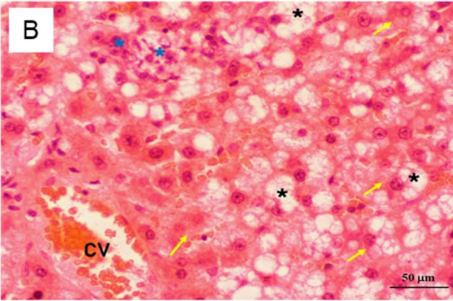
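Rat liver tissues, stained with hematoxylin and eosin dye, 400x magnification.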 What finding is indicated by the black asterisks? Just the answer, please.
Steatosis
